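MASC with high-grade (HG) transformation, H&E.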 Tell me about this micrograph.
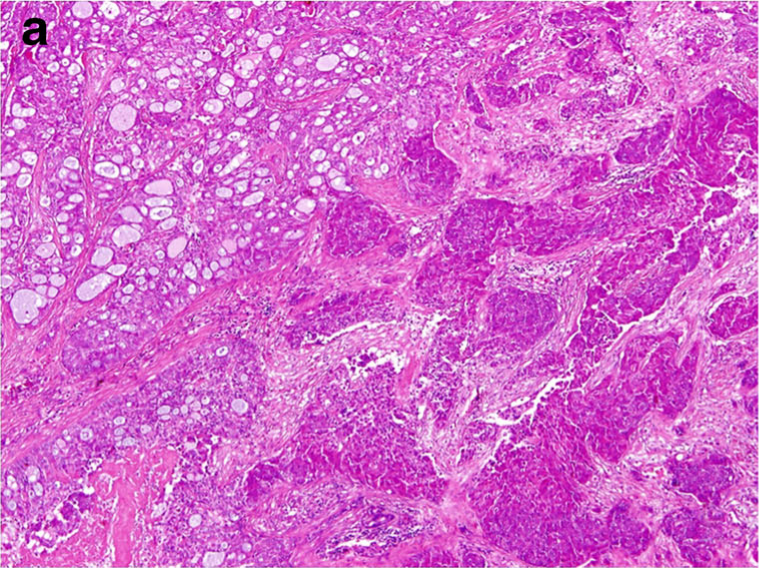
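This low-power view of a carcinoma shows two different patterns side by side. On the left the tumour forms many small round clear spaces, microcysts and tubules lined by uniform cells, giving a lacy, bubbly look. On the right the tumour is built of solid, densely packed nests that stain a deeper pink and look more crowded. Between the nests run pale pink fibrous bands, some dense and glassy. The solid right-hand component is the more aggressive-looking part, while the microcystic left side keeps the orderly, conventional pattern.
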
